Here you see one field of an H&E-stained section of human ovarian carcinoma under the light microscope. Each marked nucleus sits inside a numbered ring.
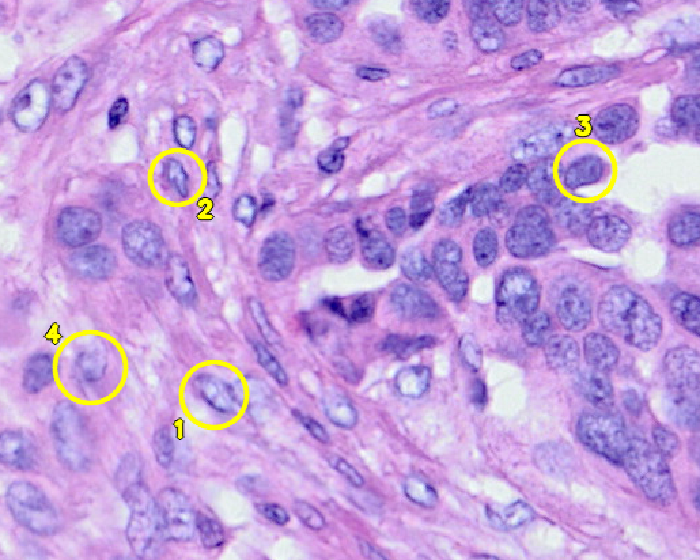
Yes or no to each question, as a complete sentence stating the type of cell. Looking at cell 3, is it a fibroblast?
No, it is not a fibroblast that bears number 3 but a carcinoma cell.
